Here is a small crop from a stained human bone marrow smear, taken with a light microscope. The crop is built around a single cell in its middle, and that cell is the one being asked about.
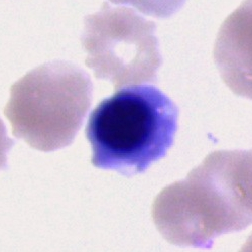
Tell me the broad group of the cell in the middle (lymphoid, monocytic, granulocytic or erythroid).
erythroid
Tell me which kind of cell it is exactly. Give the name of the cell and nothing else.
erythroblast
